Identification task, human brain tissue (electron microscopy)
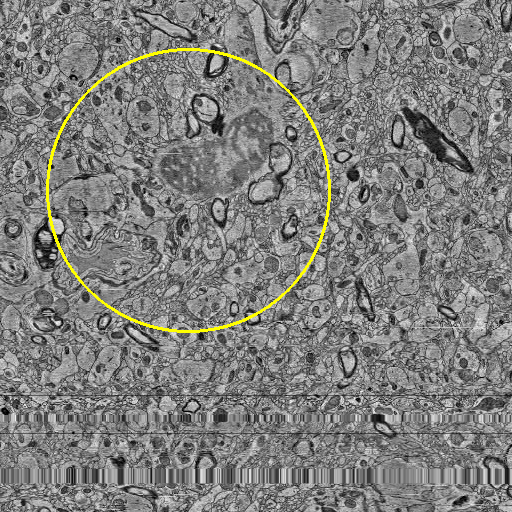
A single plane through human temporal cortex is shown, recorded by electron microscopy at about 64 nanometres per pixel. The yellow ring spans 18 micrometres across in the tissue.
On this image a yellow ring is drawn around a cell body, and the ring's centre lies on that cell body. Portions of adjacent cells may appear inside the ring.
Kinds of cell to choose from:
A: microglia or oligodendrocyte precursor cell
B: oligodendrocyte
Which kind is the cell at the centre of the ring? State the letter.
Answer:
B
